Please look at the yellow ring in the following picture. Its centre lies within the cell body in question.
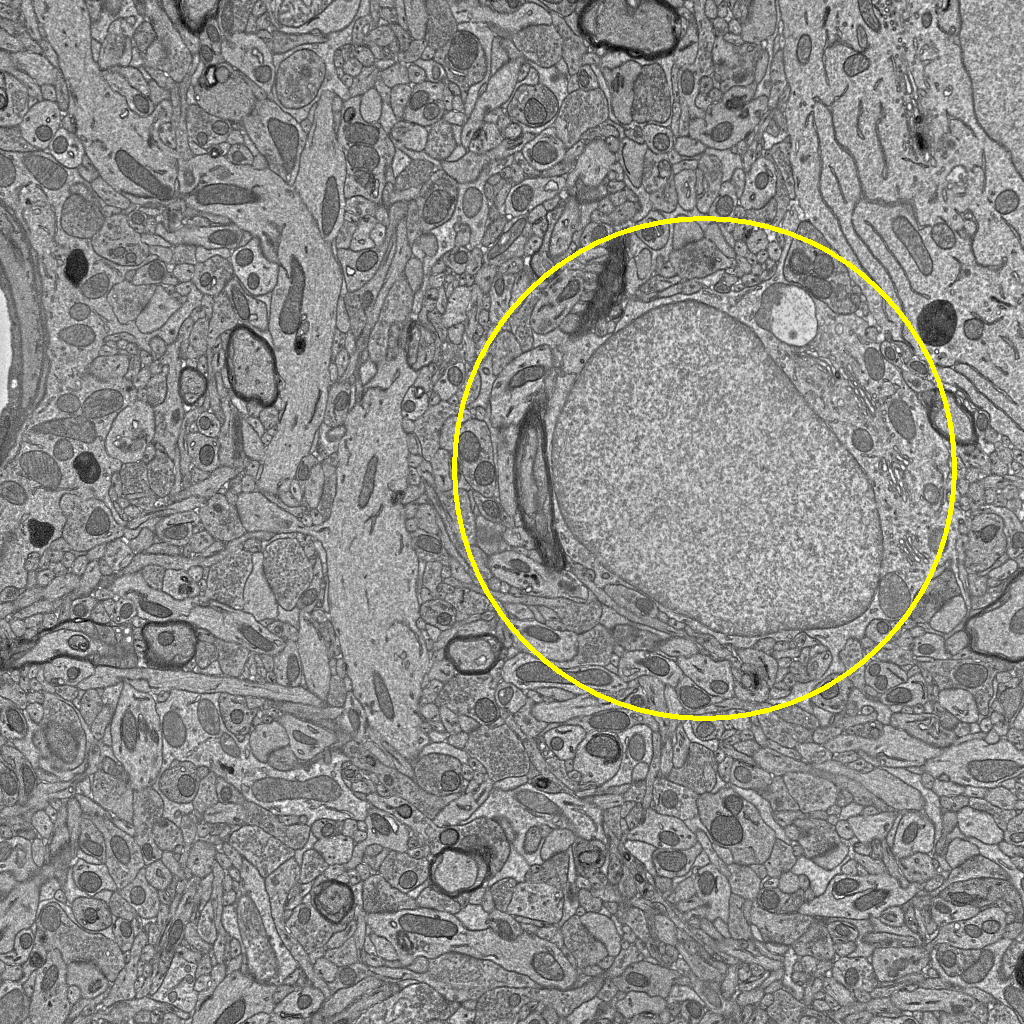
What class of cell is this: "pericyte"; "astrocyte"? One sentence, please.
The centre of the ring lies in the cell body of an astrocyte.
